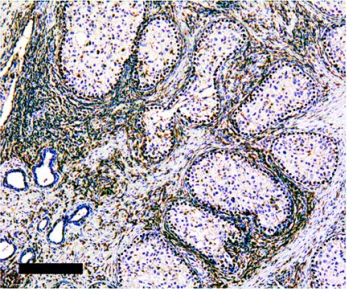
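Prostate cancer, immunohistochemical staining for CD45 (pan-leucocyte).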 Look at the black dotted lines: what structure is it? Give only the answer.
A: Border between tumor and stroma.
